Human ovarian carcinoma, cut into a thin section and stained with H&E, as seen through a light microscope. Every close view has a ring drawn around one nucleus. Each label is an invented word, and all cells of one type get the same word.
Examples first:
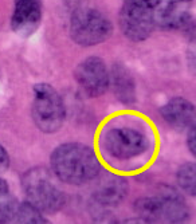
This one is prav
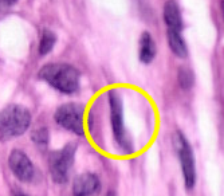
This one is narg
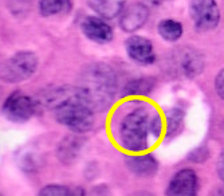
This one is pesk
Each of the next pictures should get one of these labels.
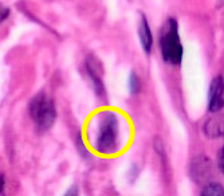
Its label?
narg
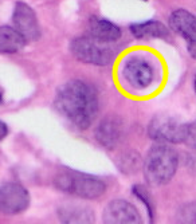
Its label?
prav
